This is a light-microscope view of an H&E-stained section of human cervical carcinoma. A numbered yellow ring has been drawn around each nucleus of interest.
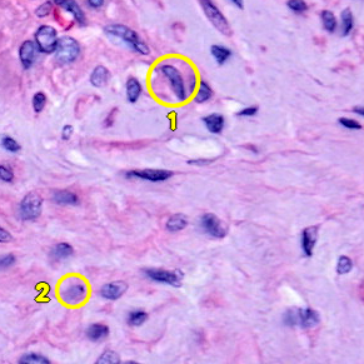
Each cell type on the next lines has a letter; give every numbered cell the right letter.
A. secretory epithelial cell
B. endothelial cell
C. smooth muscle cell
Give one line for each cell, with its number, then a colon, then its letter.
1: B
2: C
